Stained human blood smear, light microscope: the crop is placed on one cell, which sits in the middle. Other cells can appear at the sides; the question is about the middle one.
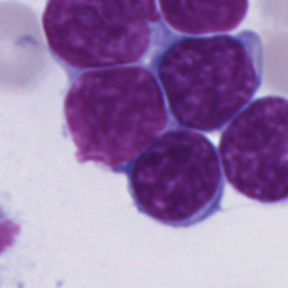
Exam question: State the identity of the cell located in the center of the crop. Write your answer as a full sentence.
Among the cells in view, the one in the middle is a myeloblast.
